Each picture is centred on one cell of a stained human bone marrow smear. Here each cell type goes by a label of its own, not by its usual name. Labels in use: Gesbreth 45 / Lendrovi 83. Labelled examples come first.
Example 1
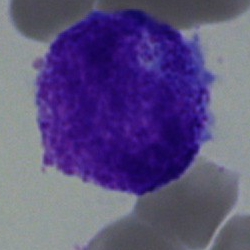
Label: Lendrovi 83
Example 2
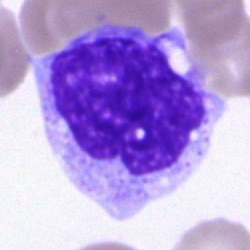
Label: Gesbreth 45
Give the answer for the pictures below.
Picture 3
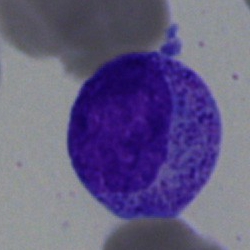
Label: Lendrovi 83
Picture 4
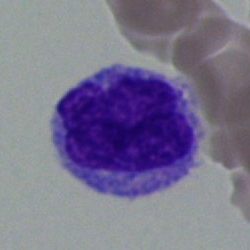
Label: Gesbreth 45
